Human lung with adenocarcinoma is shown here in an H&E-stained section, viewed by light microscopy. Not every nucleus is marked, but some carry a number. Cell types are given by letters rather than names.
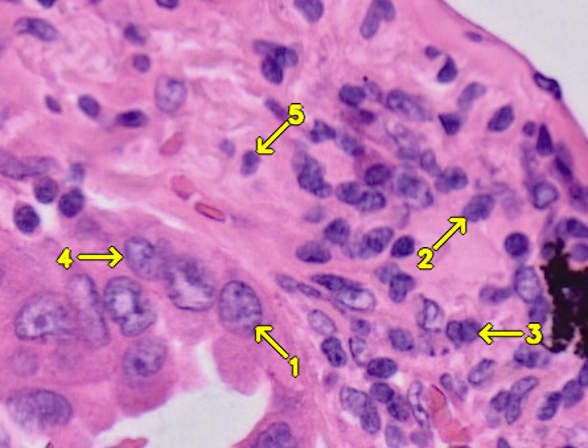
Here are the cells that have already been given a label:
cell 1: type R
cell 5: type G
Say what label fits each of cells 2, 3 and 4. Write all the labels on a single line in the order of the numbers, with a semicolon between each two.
type G; type G; type R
